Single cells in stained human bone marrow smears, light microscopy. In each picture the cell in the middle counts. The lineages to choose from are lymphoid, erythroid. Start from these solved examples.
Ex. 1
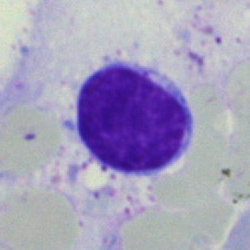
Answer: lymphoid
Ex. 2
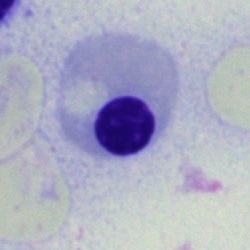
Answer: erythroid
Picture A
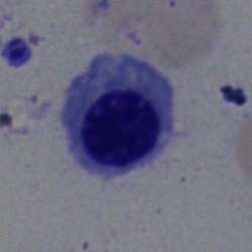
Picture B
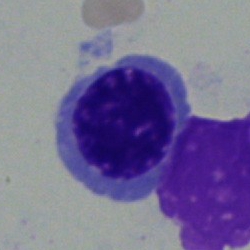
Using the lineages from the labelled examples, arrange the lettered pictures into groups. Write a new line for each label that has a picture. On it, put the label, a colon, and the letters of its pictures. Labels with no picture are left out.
erythroid: A, B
